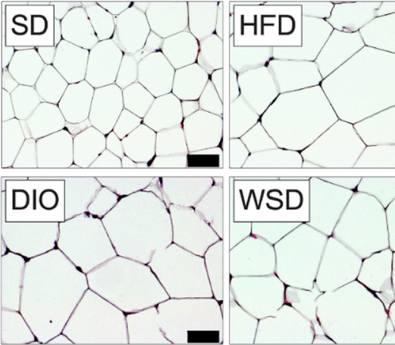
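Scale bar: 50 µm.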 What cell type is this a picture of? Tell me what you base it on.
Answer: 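Large polygonal cells with clear, unstained interiors. Thin rims of cytoplasm around each cell. Small dark nuclei pressed at the cell edges.
Adipocyte.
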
